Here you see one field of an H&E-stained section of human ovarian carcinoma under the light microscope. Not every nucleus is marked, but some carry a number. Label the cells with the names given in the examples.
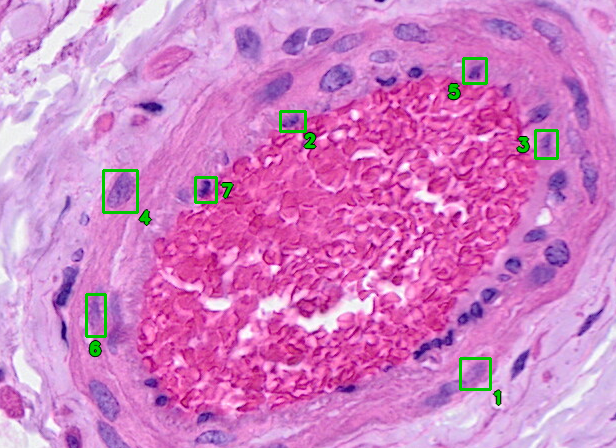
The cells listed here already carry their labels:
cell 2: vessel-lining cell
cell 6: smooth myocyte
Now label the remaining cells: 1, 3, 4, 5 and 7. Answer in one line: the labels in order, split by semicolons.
smooth myocyte; vessel-lining cell; smooth myocyte; vessel-lining cell; vessel-lining cell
